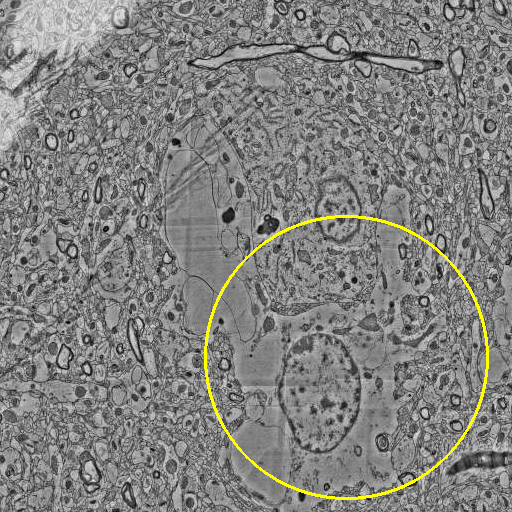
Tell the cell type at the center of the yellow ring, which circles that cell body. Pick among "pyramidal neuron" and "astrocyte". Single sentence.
The ring is centered on the body of an astrocyte.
